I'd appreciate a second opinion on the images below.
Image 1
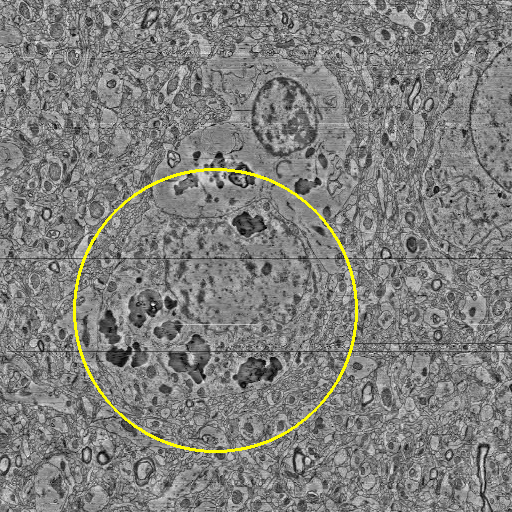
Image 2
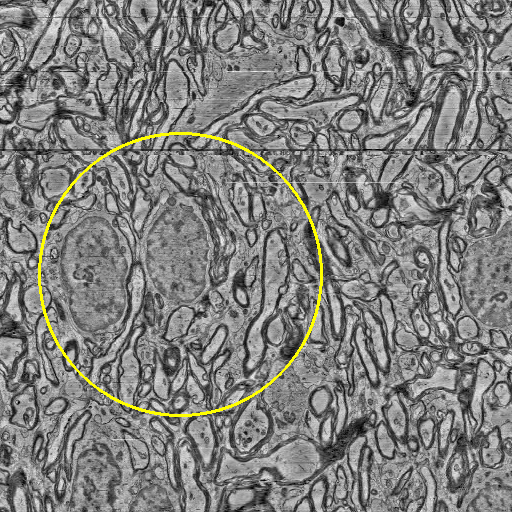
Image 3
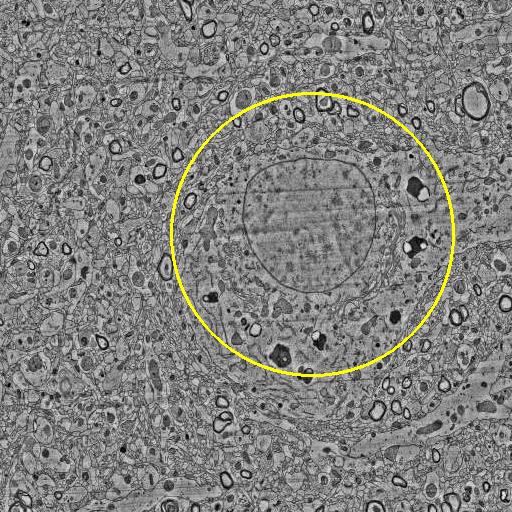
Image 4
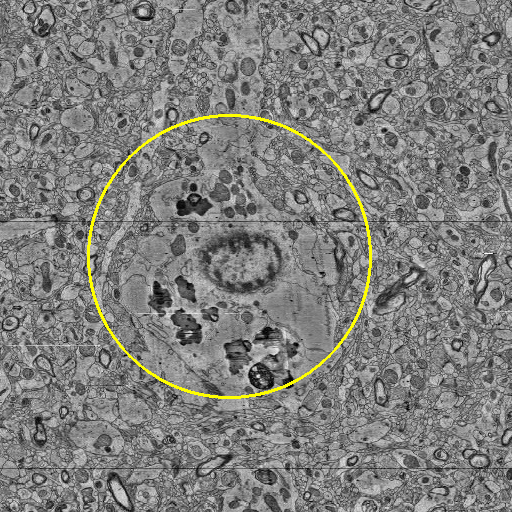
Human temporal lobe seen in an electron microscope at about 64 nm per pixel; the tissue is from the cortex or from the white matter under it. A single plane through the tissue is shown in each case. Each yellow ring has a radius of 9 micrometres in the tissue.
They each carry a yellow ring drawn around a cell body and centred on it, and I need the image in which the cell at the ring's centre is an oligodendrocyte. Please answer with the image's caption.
Image 2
